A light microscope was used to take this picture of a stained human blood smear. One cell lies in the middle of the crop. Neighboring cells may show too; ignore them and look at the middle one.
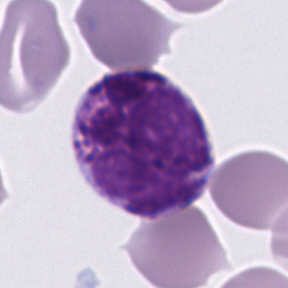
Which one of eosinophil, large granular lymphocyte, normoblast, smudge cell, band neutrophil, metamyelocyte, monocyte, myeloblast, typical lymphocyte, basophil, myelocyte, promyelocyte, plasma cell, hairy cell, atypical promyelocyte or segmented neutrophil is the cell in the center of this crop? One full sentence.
The cell in the middle of the field of view is a basophil.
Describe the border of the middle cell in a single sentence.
No projections interrupt the outline; it is smooth all the way round.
